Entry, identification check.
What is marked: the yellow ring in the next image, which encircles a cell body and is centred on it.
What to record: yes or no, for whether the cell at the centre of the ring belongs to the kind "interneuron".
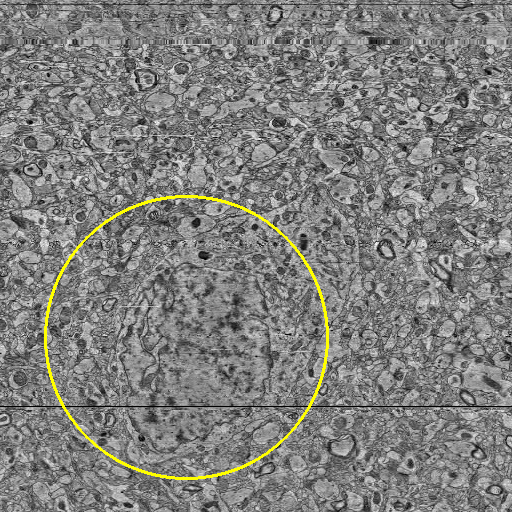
Yes, it belongs to that kind.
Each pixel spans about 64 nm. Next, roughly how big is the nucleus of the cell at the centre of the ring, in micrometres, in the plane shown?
About 12 micrometres by about 10 micrometres in this plane.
